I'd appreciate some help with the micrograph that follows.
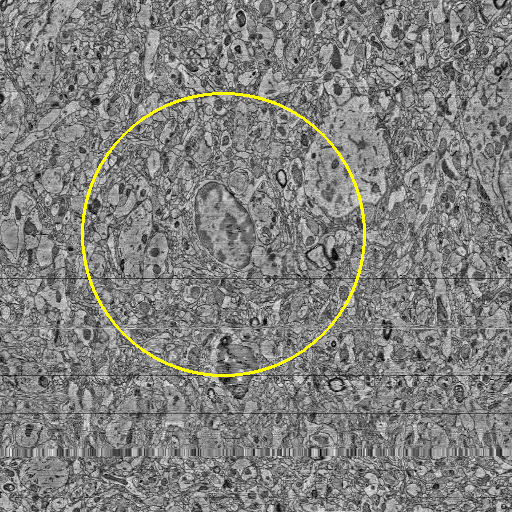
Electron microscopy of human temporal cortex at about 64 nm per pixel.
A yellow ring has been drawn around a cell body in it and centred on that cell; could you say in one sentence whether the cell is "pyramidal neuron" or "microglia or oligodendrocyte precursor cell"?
It is a microglial cell or oligodendrocyte precursor cell at the centre of the ring.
